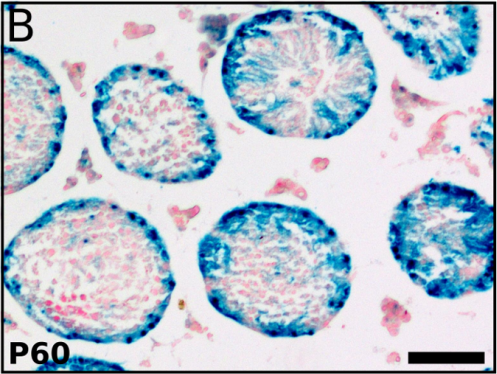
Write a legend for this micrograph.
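This section of testis shows round, cross-sectioned seminiferous tubules in which the Sertoli cells are stained blue. The blue-stained cells sit in a dense rim along the outer edge of each tubule. From this rim, blue strands extend radially inward toward the center of the tubule, between pale pink-stained cells. The interior of the tubules holds many pink cells that carry no blue stain. Small clusters of pink cells lie in the spaces between the tubules.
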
